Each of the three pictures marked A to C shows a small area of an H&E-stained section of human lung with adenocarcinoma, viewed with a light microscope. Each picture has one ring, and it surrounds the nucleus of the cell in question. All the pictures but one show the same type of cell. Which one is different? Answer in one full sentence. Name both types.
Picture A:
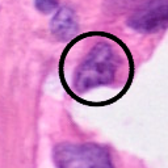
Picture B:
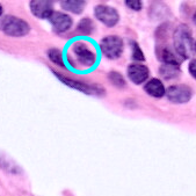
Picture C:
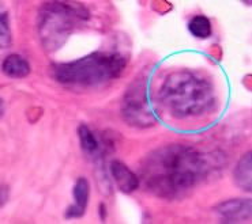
The others show carcinoma cells, but picture B shows a lymphocyte.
